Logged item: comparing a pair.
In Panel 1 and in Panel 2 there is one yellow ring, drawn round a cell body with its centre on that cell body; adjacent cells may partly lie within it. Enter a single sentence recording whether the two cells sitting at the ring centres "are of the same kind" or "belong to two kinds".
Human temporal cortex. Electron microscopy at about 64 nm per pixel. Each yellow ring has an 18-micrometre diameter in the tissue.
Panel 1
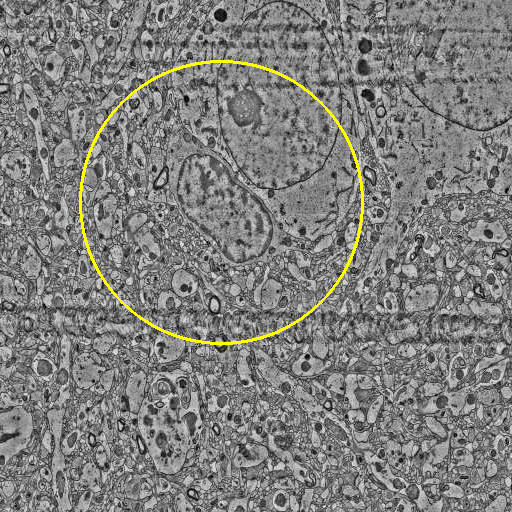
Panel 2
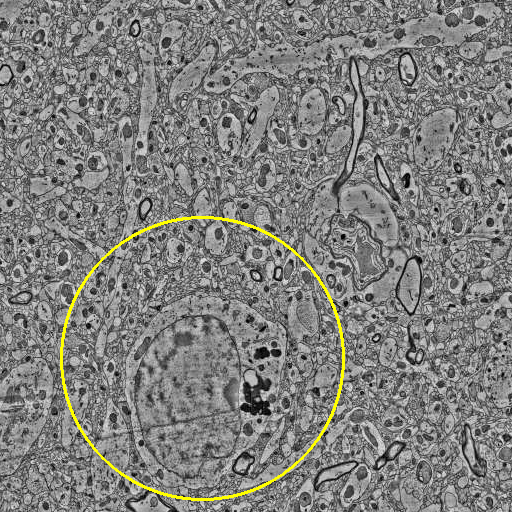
Logged: the cells centred in the rings of Panel 1 and Panel 2 belong to two kinds.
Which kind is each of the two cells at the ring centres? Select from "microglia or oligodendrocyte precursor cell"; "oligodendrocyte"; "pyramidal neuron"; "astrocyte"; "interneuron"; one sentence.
The cell at the centre of the ring is an oligodendrocyte in the first picture and an interneuron in the second.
